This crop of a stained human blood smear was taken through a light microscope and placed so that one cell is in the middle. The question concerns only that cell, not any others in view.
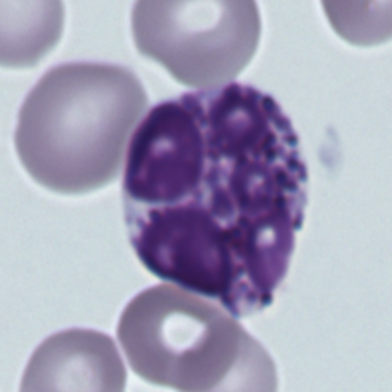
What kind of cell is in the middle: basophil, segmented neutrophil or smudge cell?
basophil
